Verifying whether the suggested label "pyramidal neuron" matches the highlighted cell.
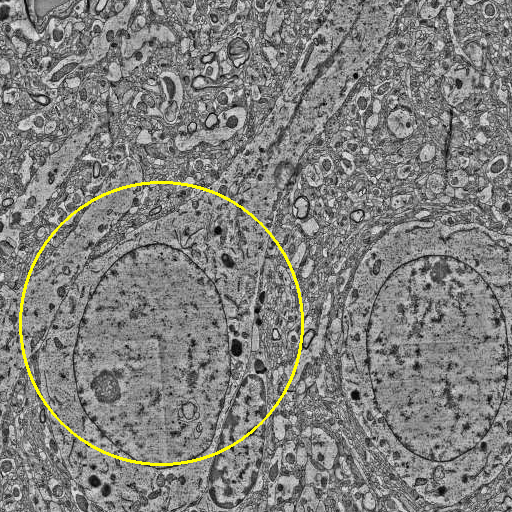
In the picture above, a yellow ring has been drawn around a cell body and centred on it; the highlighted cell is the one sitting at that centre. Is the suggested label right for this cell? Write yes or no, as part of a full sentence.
Yes, the suggested label is right for the cell centred in the yellow ring.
